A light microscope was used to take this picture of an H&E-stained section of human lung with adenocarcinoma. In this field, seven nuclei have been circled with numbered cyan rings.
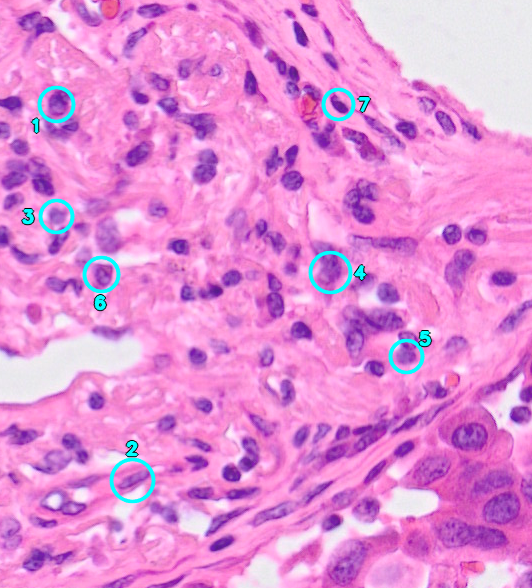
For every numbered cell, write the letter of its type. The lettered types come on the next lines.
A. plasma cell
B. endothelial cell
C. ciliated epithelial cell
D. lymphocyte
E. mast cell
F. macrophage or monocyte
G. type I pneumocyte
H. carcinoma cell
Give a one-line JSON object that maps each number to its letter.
{"1": "A", "2": "B", "3": "D", "4": "A", "5": "D", "6": "A", "7": "A"}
